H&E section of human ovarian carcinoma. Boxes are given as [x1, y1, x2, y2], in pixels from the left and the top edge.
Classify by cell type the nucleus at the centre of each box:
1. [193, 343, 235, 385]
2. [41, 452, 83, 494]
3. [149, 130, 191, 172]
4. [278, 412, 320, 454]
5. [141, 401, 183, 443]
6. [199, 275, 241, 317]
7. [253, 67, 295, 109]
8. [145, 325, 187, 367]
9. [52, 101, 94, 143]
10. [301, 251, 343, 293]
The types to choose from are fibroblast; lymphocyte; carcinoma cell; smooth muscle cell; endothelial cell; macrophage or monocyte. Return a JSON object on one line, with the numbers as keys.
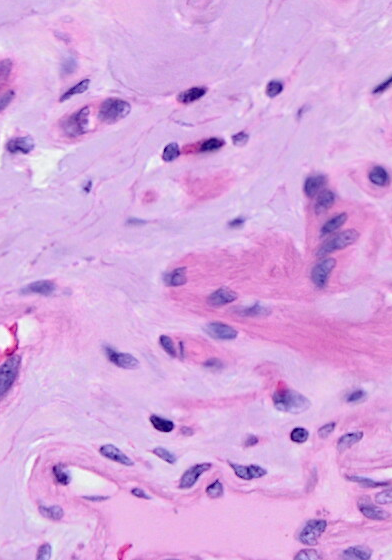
{"1": "smooth muscle cell", "2": "endothelial cell", "3": "lymphocyte", "4": "lymphocyte", "5": "lymphocyte", "6": "smooth muscle cell", "7": "lymphocyte", "8": "smooth muscle cell", "9": "endothelial cell", "10": "smooth muscle cell"}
